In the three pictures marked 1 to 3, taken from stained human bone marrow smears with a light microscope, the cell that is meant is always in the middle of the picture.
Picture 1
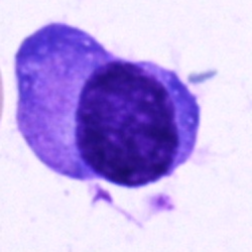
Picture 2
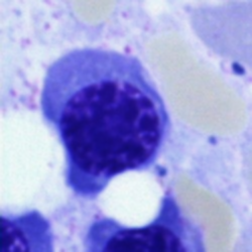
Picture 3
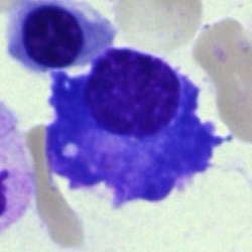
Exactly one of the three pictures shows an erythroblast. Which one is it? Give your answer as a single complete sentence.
The erythroblast is the one in picture 2.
